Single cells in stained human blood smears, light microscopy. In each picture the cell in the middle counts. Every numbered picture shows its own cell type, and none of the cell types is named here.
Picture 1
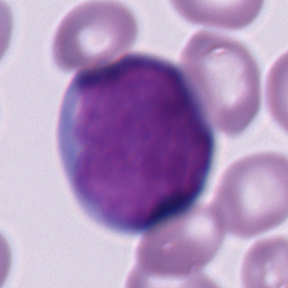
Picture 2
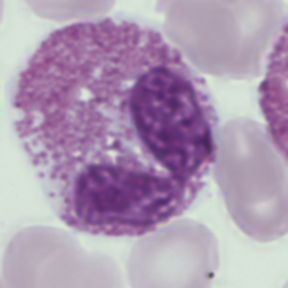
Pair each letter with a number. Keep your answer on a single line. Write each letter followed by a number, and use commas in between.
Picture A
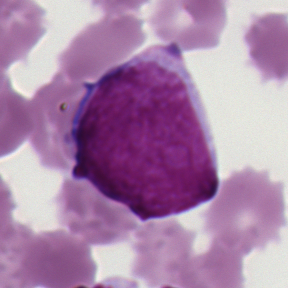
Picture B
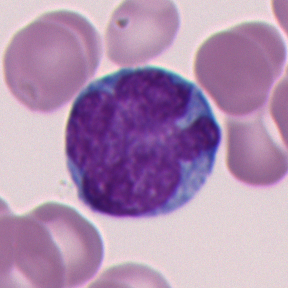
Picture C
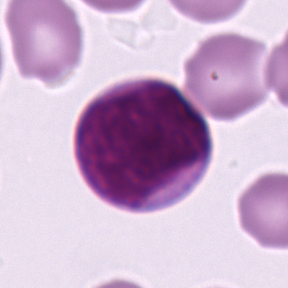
A 1, B 1, C 1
